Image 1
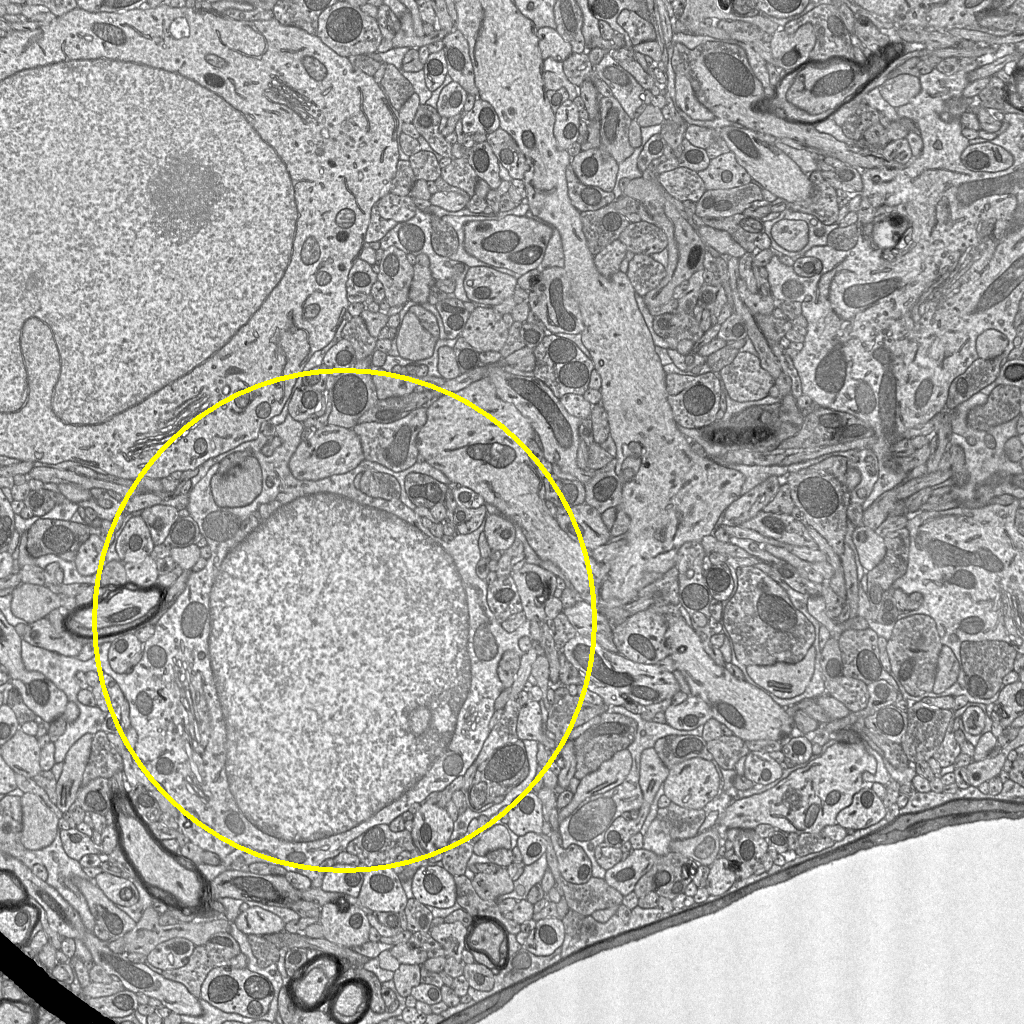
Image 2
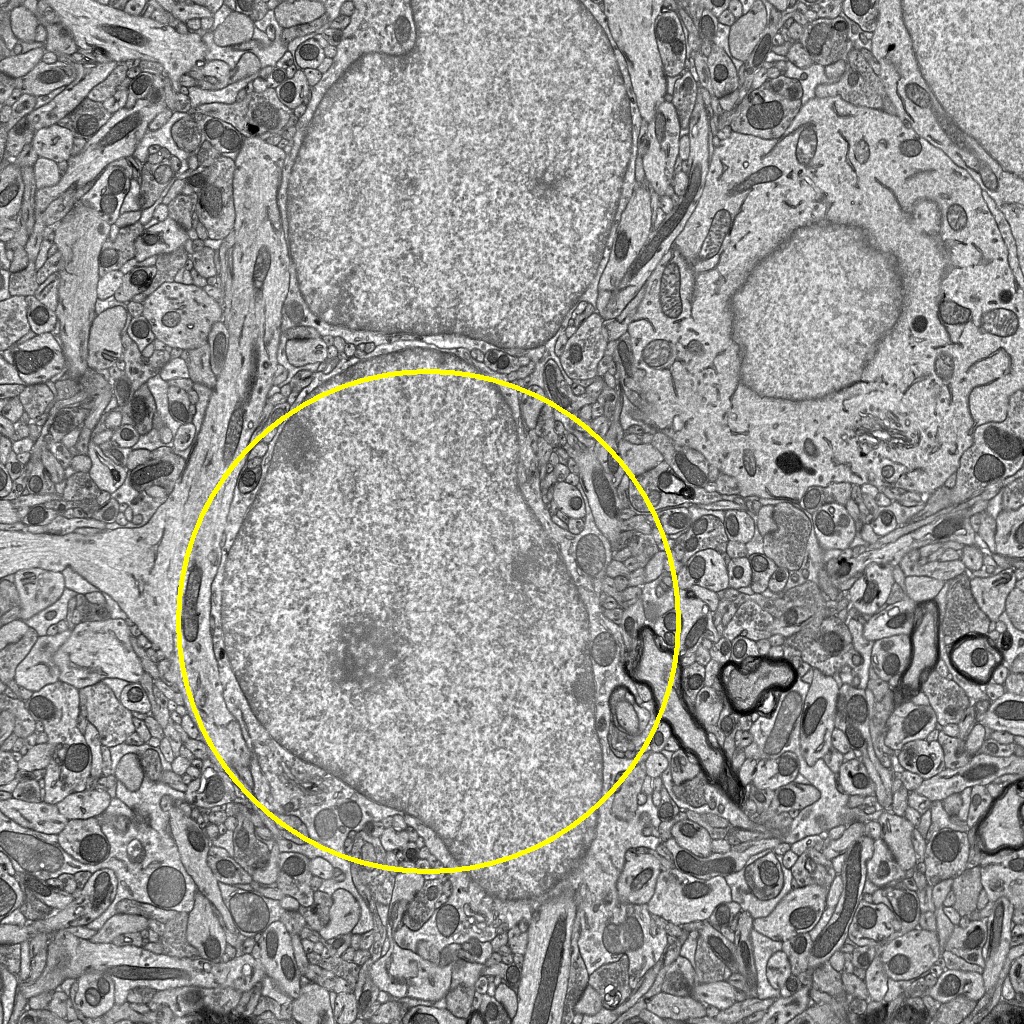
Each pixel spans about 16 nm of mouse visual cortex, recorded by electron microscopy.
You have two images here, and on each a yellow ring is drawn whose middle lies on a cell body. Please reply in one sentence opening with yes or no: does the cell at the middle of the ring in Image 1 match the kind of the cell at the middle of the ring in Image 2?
Yes, the two images show cells of one kind at the centres of their rings.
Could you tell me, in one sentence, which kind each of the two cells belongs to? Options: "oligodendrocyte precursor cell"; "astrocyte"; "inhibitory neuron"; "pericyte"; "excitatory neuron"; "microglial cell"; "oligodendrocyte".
The cell in the first picture is an astrocyte, and so is the one in the second.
